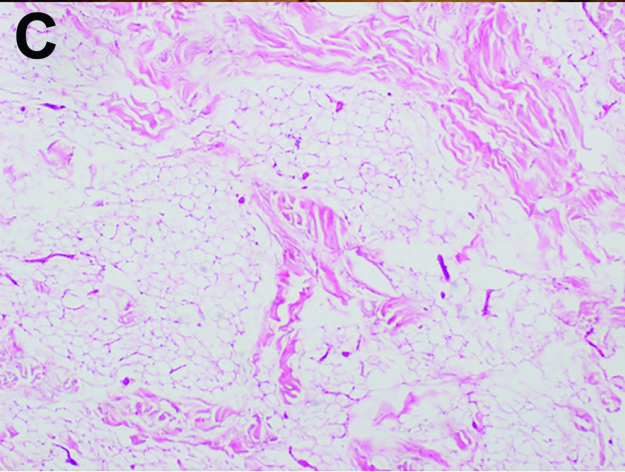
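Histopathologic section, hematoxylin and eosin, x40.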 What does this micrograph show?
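This is fatty tissue made of mature fat cells of fairly even size, seen as empty, rounded to polygonal spaces outlined by thin pale membranes. Wavy pink bands of dense fibrous connective tissue run between the groups of fat cells, dividing them into lobules.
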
